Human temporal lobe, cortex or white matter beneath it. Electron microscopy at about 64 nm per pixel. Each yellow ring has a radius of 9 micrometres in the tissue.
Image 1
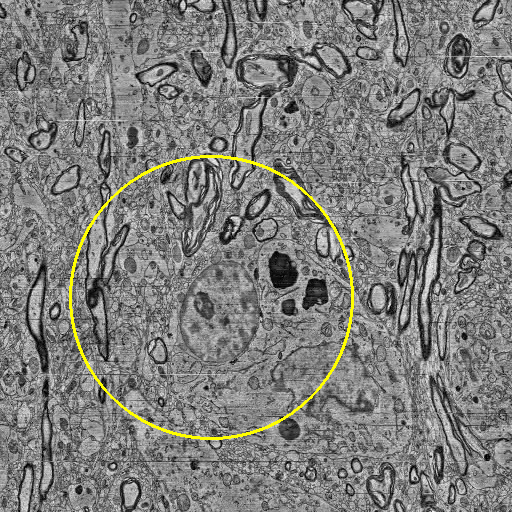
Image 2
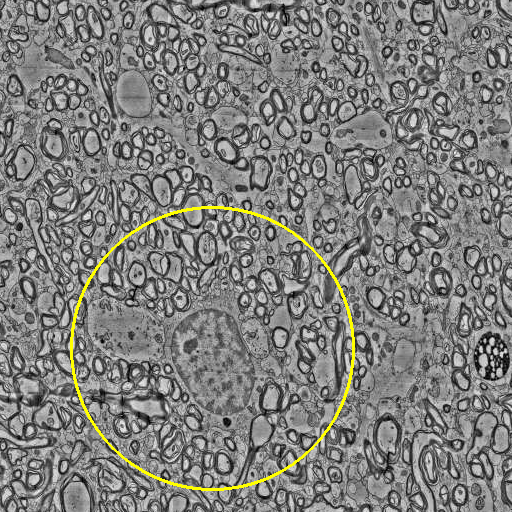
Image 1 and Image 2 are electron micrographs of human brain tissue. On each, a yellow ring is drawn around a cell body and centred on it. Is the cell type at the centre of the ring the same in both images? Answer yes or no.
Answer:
yes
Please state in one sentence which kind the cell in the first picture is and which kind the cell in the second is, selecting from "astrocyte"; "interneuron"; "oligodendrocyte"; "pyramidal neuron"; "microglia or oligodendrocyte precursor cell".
Each cell at the centre of a ring is an oligodendrocyte.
